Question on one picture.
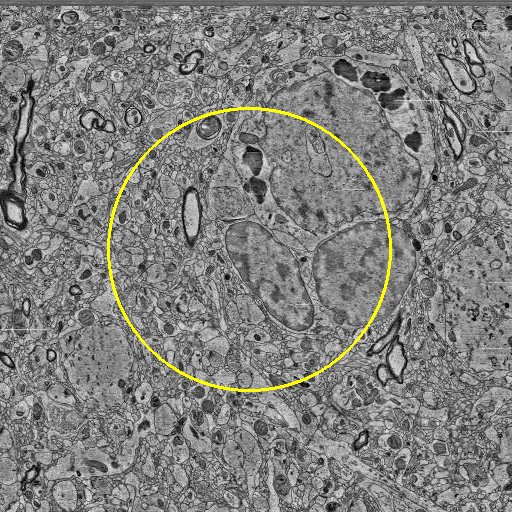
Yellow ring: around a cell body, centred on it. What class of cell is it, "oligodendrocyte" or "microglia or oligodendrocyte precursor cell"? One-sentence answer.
This is a microglial cell or oligodendrocyte precursor cell, the cell the ring is centred on.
